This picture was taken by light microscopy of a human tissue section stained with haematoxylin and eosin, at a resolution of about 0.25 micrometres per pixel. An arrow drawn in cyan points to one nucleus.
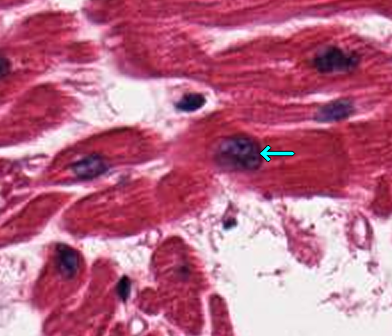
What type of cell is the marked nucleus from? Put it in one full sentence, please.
The marked nucleus belongs to a cardiomyocyte.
